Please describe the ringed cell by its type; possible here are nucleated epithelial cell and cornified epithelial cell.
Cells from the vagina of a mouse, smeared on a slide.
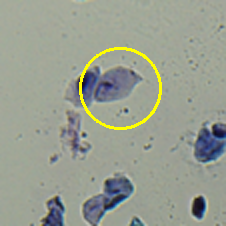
The yellow ring marks a nucleated epithelial cell.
